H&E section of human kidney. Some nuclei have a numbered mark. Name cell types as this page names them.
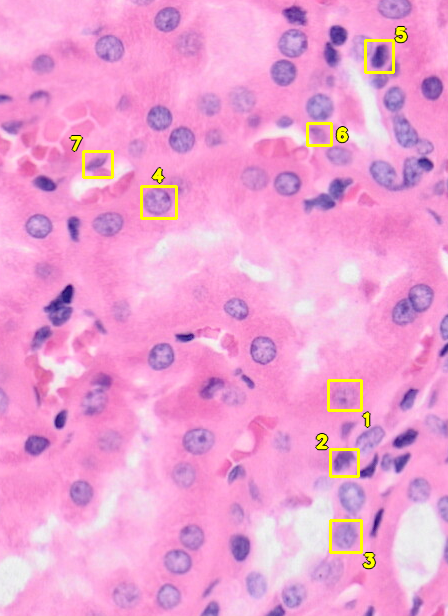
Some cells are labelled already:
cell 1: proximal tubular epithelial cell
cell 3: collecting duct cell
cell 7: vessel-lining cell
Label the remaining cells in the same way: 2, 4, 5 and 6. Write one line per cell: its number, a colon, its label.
2: collecting duct cell
4: proximal tubular epithelial cell
5: collecting duct cell
6: collecting duct cell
